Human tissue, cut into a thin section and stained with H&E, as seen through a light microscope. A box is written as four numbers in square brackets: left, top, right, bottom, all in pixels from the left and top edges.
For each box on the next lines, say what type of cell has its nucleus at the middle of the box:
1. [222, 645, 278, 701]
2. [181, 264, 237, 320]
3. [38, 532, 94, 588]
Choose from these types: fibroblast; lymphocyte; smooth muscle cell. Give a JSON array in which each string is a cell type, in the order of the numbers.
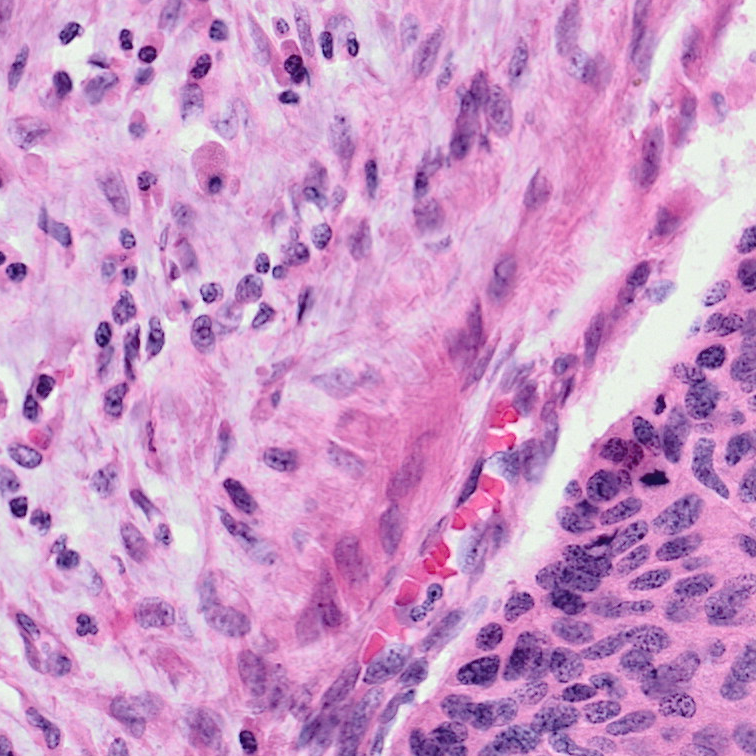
["fibroblast", "lymphocyte", "lymphocyte"]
